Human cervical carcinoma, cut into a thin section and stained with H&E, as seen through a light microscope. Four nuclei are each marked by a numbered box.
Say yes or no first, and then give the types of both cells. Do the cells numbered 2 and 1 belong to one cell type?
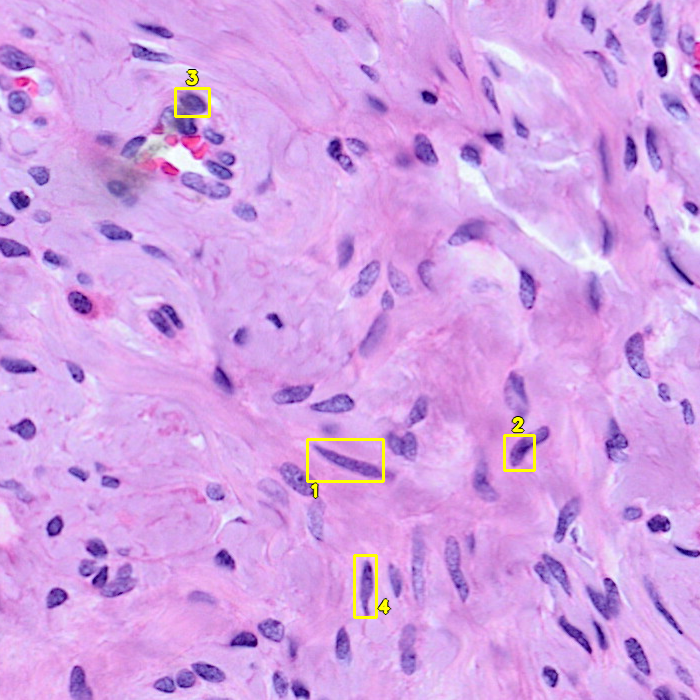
Yes, cells 2 and 1 both belong to the category of fibroblasts.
